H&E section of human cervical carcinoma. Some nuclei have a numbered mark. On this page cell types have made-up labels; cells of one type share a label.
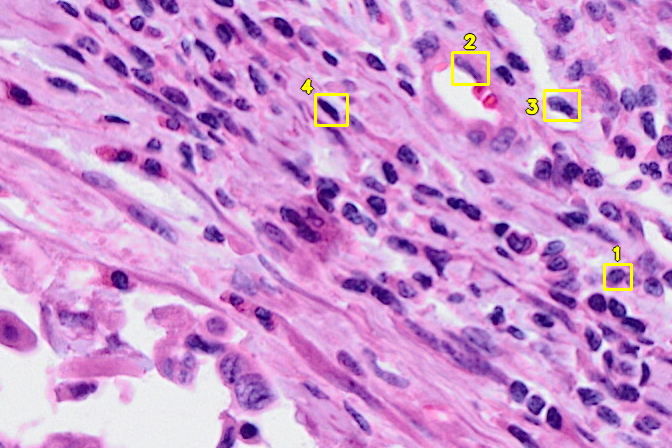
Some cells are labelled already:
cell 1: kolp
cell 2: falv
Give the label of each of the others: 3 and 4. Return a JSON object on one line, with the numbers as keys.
{"3": "kolp", "4": "kolp"}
